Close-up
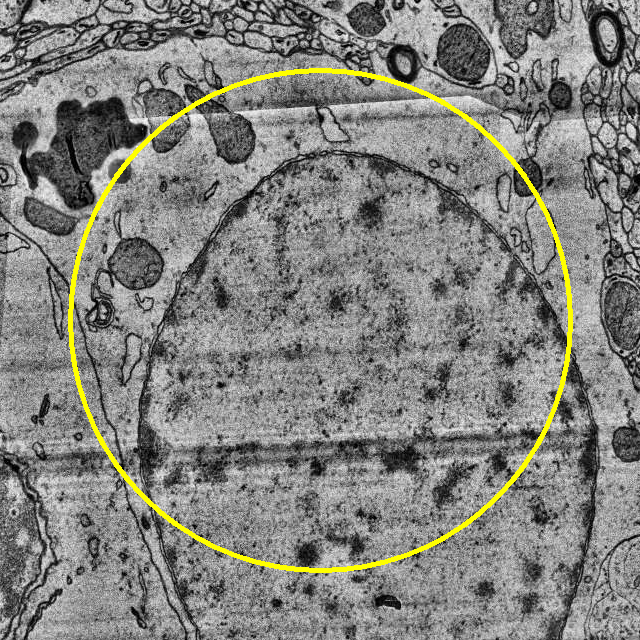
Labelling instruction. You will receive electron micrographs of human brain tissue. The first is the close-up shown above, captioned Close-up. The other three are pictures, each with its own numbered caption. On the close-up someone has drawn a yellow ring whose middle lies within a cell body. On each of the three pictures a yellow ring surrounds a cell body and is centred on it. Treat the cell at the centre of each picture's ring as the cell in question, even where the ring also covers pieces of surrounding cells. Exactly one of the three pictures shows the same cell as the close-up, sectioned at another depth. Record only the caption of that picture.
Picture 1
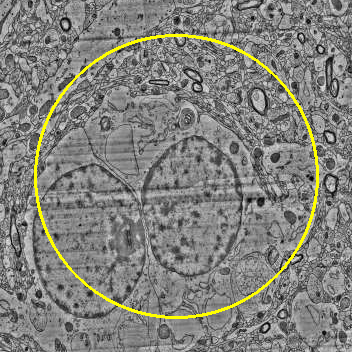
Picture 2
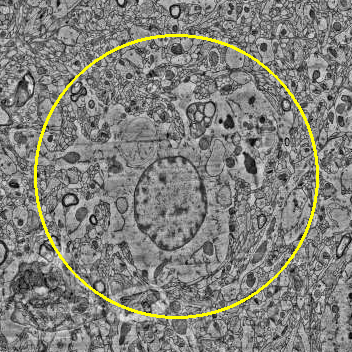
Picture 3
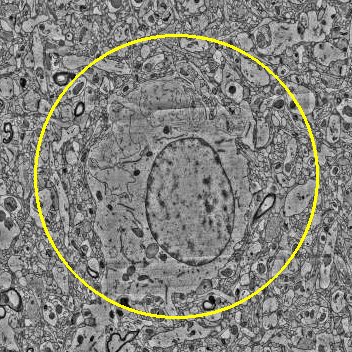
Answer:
Picture 1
